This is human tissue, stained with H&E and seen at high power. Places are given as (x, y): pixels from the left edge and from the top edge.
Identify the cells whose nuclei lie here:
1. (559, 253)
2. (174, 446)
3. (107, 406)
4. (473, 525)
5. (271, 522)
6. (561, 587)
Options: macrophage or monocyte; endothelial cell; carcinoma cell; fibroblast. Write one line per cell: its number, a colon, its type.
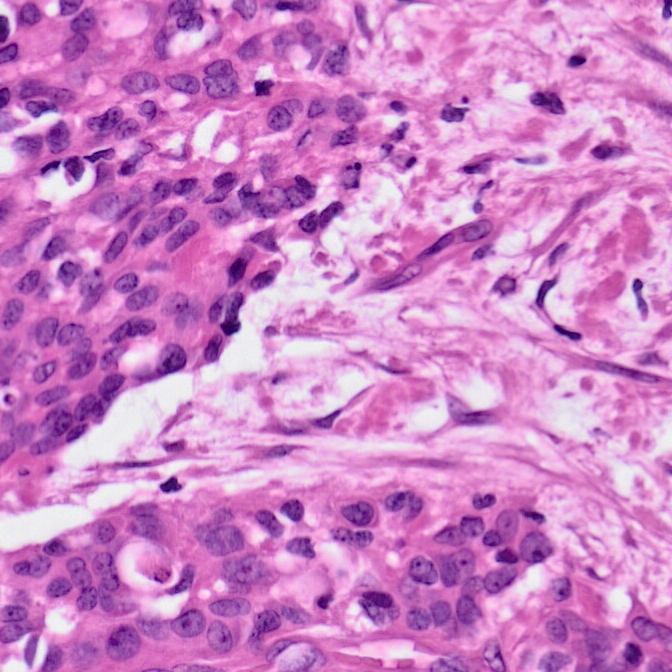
1: fibroblast
2: fibroblast
3: carcinoma cell
4: macrophage or monocyte
5: carcinoma cell
6: macrophage or monocyte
